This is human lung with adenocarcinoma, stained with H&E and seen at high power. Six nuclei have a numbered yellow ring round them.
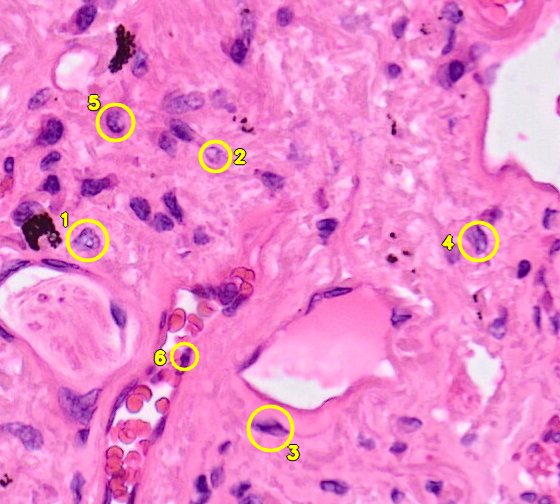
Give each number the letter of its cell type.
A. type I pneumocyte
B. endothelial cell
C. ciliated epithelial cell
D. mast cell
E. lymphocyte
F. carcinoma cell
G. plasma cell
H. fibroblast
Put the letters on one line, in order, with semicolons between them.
H; H; H; H; G; B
